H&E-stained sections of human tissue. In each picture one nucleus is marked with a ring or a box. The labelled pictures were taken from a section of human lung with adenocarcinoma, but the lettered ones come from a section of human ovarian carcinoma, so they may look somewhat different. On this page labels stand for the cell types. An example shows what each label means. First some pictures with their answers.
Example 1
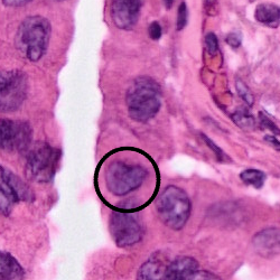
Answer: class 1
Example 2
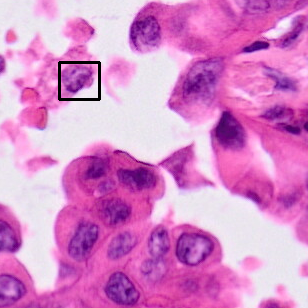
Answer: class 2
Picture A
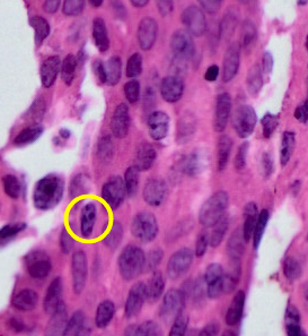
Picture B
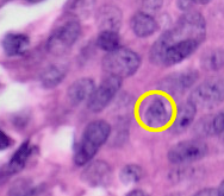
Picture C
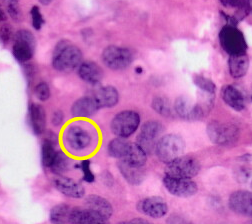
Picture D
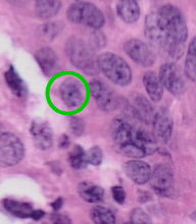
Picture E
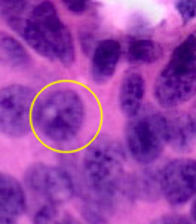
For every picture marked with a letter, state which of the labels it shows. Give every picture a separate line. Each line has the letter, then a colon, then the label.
A: class 2
B: class 2
C: class 2
D: class 2
E: class 1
